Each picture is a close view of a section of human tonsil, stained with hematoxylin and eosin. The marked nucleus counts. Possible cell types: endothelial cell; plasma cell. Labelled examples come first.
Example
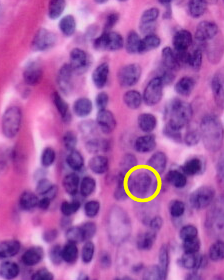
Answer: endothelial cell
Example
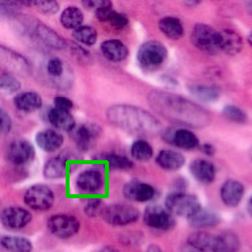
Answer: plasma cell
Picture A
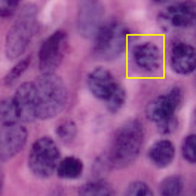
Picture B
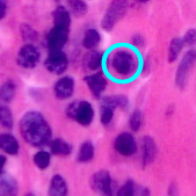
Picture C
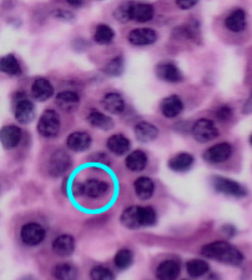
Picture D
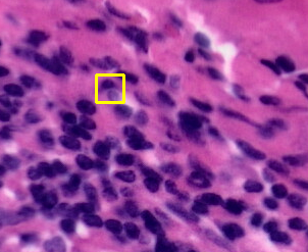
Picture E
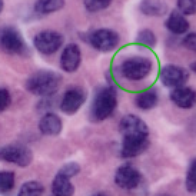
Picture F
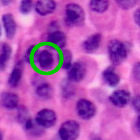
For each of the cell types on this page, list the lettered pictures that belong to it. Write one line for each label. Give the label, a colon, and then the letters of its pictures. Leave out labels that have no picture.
endothelial cell: D
plasma cell: A, B, C, E, F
